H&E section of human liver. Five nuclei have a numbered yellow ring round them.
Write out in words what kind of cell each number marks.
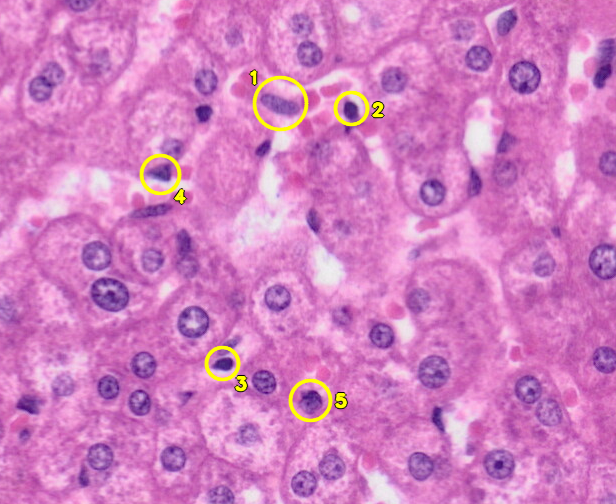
Cell 1 is a Kupffer cell, cell 2 is a lymphocyte, cell 3 is a lymphocyte, cell 4 is an endothelial cell and cell 5 is an endothelial cell.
